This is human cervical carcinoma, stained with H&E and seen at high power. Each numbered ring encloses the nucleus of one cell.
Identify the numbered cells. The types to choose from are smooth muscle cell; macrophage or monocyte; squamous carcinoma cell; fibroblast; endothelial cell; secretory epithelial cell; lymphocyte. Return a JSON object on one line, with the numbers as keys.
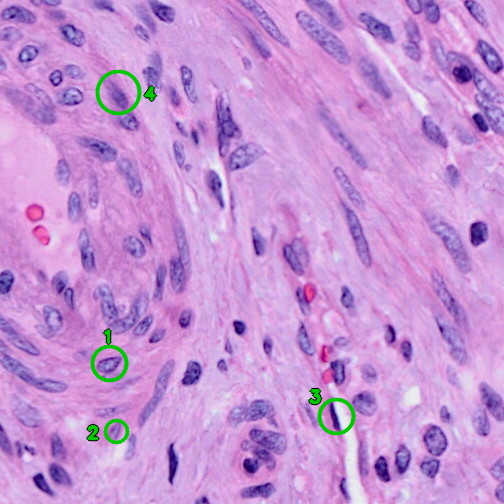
{"1": "smooth muscle cell", "2": "smooth muscle cell", "3": "endothelial cell", "4": "smooth muscle cell"}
